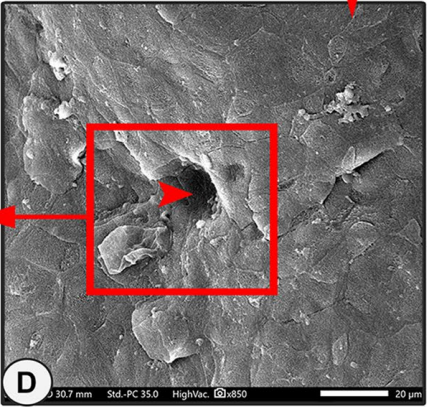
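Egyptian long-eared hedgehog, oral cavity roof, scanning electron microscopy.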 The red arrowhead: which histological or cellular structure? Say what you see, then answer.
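A small dark pore in the surface lies inside the red box where the arrowhead points. The surrounding surface is flat and scaly.
Answer: opening of the palatine gland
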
